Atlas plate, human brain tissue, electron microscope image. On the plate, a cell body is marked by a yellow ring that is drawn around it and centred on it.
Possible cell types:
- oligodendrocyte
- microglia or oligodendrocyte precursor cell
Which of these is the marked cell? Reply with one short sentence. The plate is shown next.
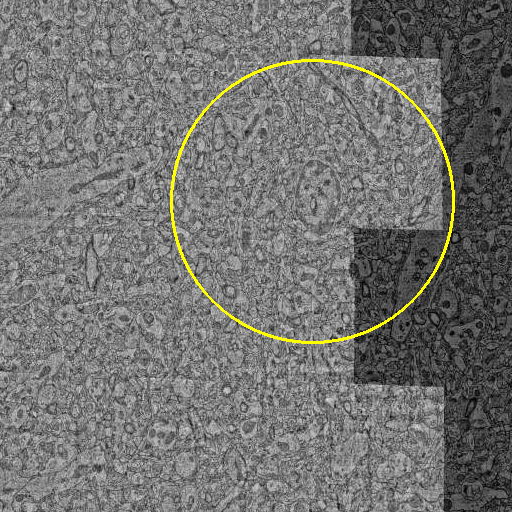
The marked cell is a microglial cell or oligodendrocyte precursor cell.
